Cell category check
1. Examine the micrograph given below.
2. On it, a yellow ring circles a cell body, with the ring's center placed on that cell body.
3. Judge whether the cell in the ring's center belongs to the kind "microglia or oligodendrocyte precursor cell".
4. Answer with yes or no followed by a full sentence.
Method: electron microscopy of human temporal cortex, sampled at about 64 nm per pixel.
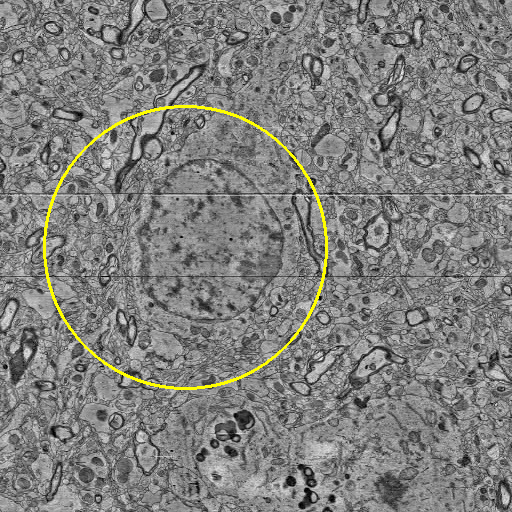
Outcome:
No, the cell found at the ring's center in the micrograph belongs to another kind.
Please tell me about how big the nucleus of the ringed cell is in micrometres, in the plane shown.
Approximately 11 by 9 micrometers in this plane.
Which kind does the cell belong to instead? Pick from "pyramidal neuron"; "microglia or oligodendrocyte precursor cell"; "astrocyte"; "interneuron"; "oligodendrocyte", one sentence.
In this picture, the ring is centred on an interneuron.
